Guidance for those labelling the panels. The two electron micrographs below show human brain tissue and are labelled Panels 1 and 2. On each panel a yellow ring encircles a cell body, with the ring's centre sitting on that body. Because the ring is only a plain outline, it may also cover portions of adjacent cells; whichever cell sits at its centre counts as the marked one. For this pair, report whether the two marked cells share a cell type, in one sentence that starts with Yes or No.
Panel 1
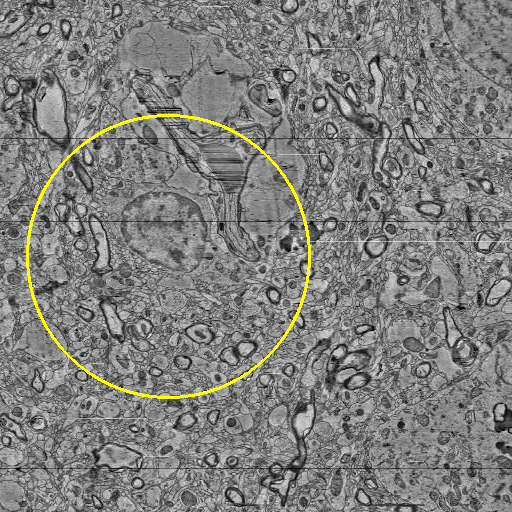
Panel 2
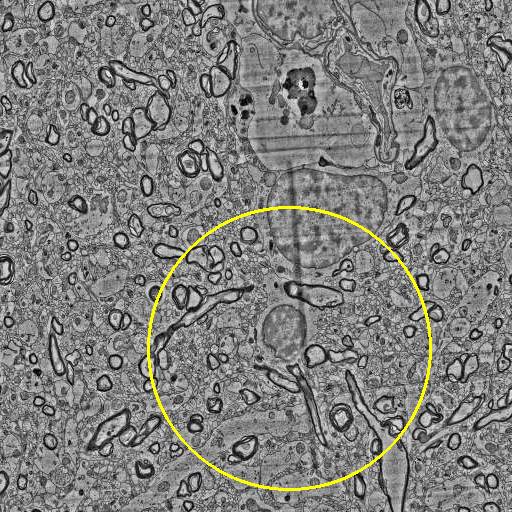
Yes, in Panel 1 and Panel 2 the marked cells at the ring centres share one type.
